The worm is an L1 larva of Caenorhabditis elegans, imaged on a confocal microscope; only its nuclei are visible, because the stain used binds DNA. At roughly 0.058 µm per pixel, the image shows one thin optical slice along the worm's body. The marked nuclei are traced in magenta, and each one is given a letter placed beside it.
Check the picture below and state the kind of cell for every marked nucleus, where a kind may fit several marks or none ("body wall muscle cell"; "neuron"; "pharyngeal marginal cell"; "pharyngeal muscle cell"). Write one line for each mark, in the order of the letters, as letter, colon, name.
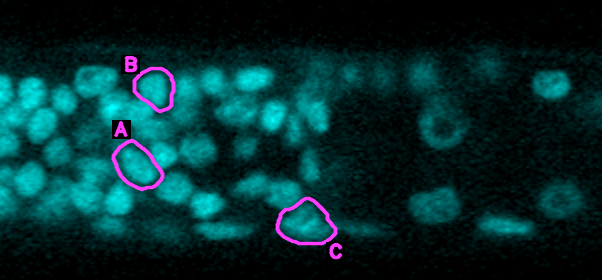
A: pharyngeal muscle cell
B: neuron
C: body wall muscle cell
